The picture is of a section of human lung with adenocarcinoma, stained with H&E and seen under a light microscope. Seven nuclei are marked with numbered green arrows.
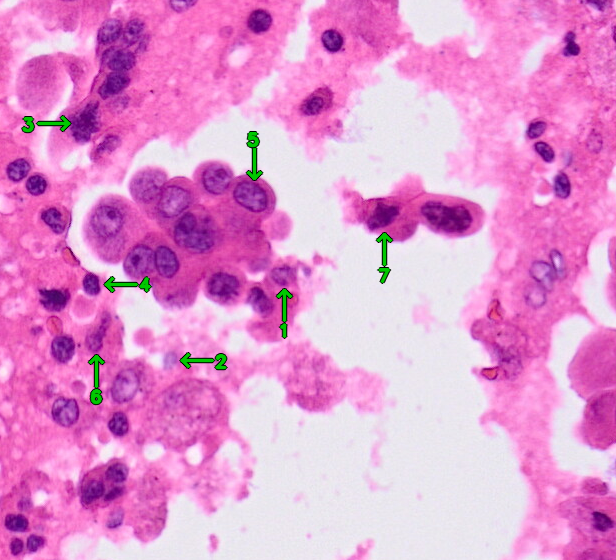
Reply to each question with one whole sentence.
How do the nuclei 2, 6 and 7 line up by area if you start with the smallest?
By area, going up from the smallest, they rank 2, 6, 7.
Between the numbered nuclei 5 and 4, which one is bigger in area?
The larger nucleus is 5, at roughly 2 times the area of 4.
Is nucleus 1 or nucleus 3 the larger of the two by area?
Of the two, number 3 is bigger and takes up about 2 times the area of number 1.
